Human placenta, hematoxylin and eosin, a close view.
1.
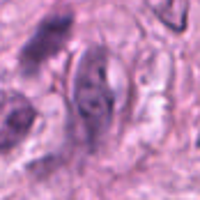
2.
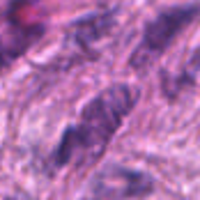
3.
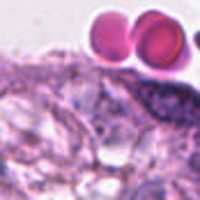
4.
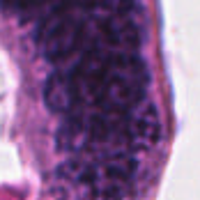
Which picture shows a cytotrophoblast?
Picture 3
